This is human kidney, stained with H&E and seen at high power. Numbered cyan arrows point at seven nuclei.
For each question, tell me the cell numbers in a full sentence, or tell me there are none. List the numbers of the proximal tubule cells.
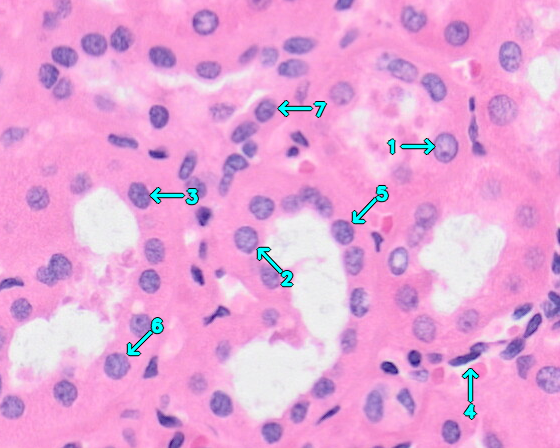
Cell 1 is the only numbered cell that is a proximal tubule cell.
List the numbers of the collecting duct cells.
Cell 7 represents a collecting duct cell, and no other numbered cell does.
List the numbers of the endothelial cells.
Just one numbered cell is an endothelial cell, and that cell is number 4.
